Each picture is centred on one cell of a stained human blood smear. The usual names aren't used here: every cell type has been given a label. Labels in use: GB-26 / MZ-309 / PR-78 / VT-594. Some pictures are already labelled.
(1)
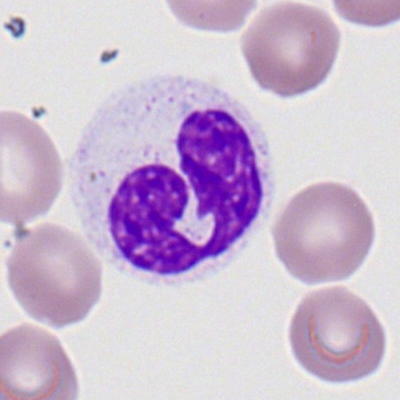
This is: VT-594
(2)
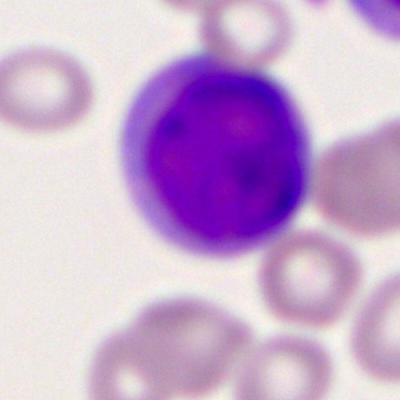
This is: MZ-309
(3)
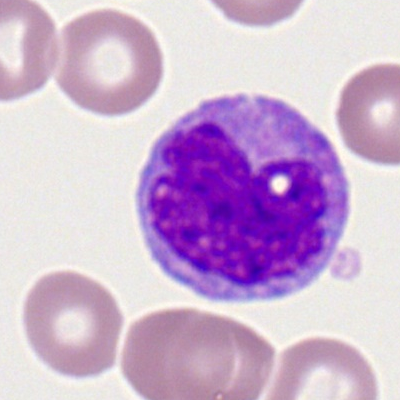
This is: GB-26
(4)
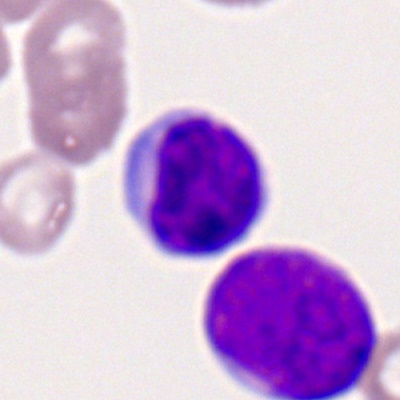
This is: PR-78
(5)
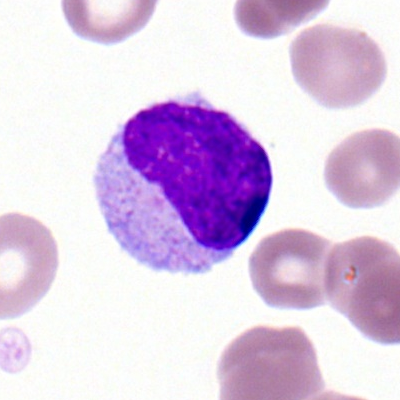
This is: PR-78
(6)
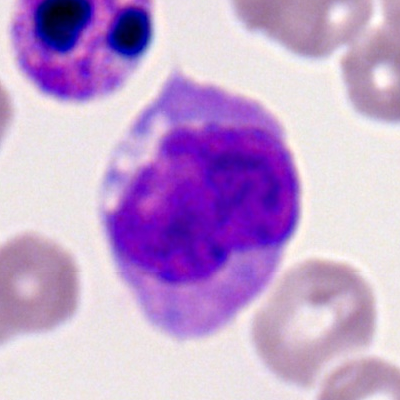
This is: GB-26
